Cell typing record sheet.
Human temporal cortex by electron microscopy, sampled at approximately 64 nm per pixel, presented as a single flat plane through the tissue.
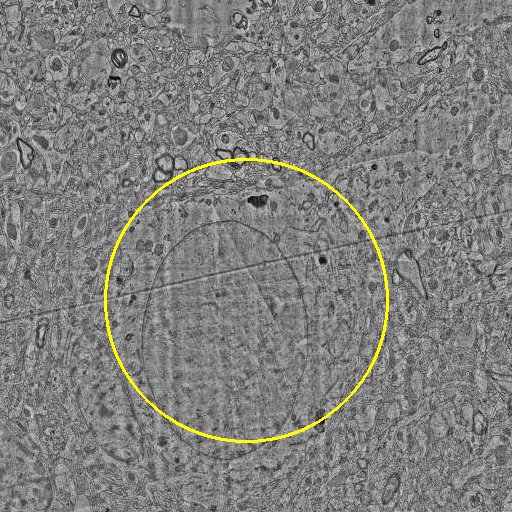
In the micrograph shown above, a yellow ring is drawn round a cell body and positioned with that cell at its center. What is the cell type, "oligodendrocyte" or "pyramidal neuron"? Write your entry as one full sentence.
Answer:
The cell body at the center of the ring belongs to a pyramidal neuron.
